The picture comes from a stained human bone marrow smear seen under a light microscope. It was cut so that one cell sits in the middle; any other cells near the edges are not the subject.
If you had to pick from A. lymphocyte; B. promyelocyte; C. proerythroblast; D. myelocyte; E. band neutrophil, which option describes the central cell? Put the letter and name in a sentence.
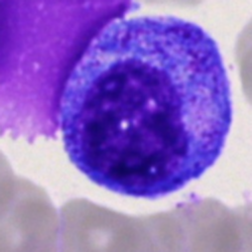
The cell centered in the crop is a promyelocyte, making option B the correct pick.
